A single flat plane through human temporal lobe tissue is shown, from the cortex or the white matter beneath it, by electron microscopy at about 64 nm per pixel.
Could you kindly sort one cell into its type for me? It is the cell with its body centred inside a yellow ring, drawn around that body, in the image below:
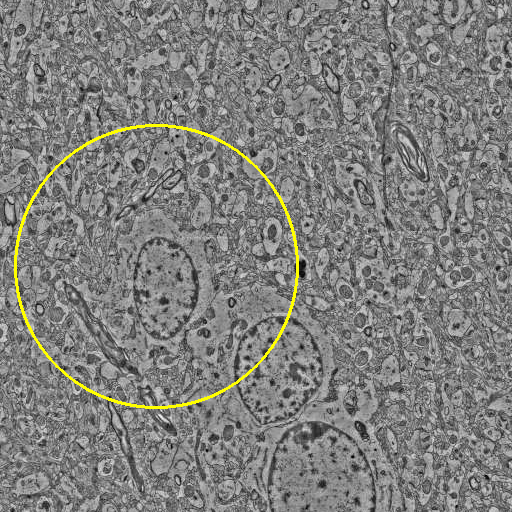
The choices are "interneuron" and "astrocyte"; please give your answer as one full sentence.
The cell whose body lies centred in the yellow ring here is an astrocyte.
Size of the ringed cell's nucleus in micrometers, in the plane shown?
In this plane, approximately 6 by 4 micrometers, and clearly longer than it is wide.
